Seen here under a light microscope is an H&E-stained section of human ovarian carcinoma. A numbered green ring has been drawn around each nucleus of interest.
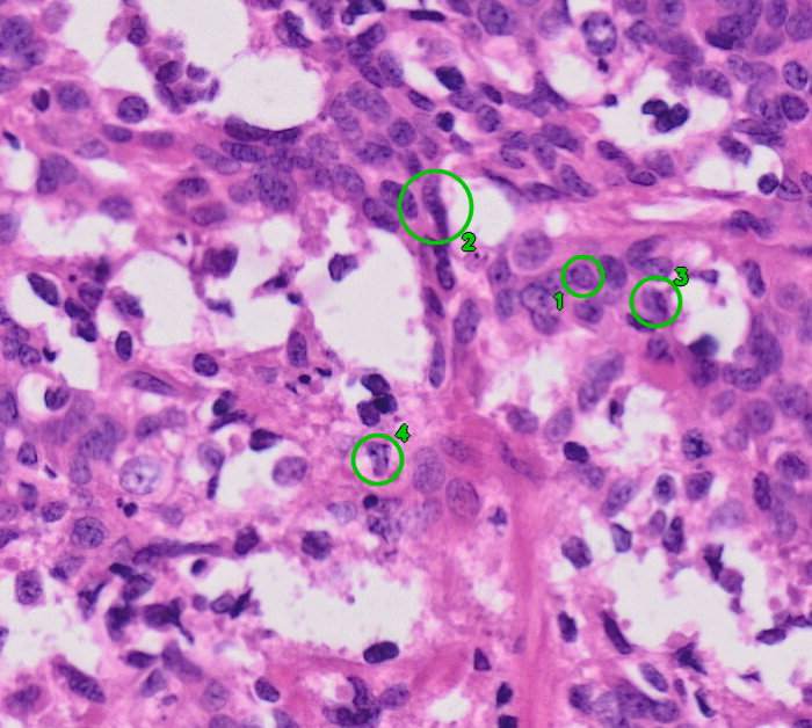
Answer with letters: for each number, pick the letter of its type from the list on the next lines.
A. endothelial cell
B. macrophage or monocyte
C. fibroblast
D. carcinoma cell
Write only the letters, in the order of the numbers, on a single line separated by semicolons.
D; D; D; B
